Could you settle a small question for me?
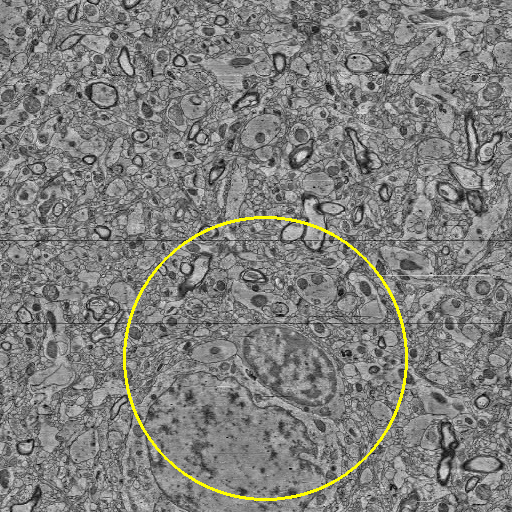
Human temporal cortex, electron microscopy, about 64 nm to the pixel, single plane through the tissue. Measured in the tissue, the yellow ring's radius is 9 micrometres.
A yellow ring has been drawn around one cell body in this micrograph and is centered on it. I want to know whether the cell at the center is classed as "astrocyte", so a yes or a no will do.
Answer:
no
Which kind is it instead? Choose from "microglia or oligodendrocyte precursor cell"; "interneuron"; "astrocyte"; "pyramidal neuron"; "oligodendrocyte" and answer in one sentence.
Instead, the cell at the centre of the ring is an oligodendrocyte.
